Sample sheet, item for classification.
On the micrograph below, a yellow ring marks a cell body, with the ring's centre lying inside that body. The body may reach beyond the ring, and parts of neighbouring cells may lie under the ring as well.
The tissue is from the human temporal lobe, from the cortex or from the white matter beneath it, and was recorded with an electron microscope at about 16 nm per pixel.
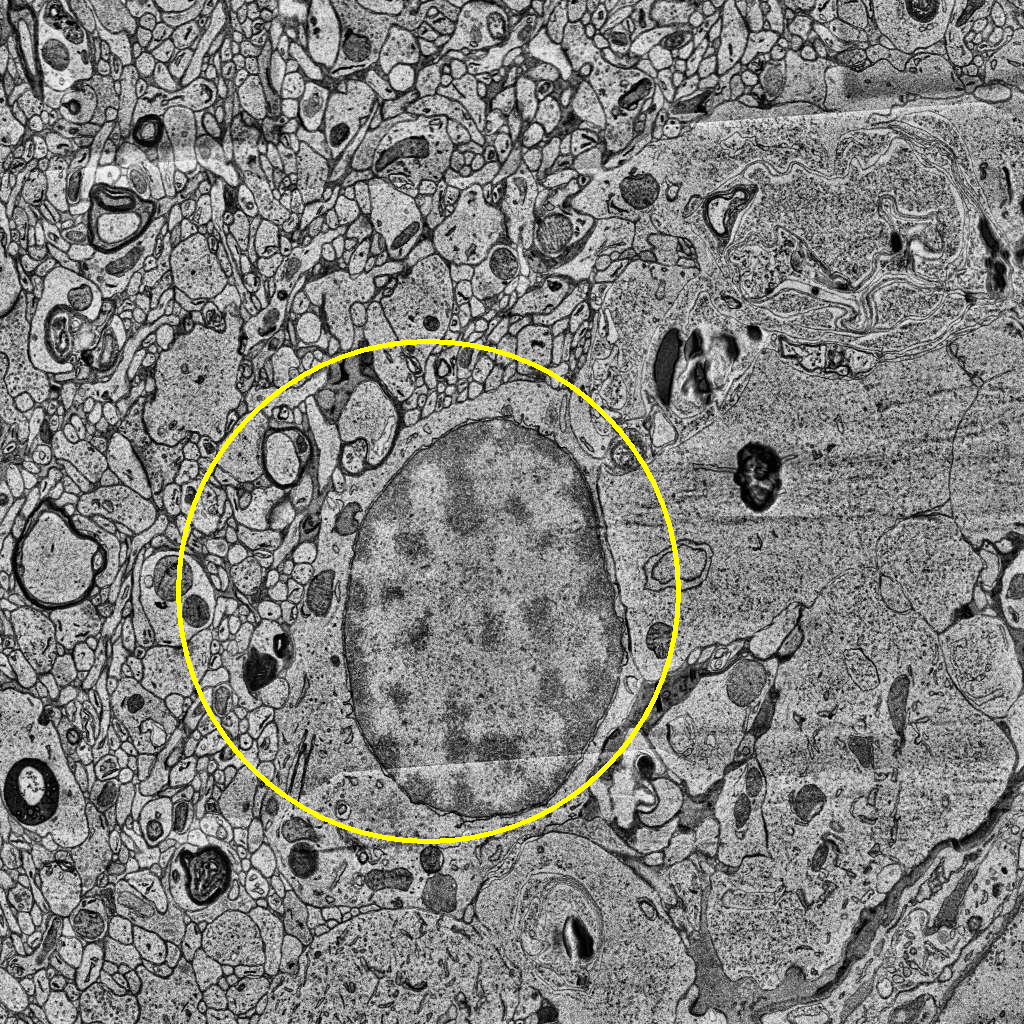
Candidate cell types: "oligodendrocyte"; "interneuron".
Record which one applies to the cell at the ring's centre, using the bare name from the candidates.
oligodendrocyte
